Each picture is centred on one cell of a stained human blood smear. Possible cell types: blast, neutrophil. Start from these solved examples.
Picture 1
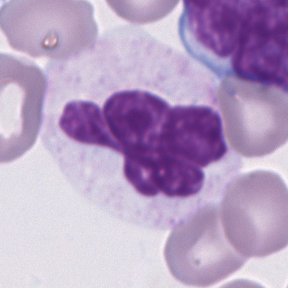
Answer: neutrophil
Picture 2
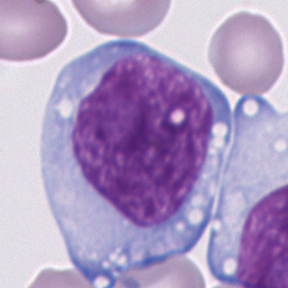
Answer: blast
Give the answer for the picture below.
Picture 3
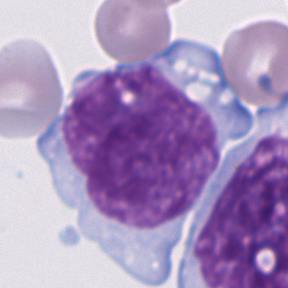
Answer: blast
